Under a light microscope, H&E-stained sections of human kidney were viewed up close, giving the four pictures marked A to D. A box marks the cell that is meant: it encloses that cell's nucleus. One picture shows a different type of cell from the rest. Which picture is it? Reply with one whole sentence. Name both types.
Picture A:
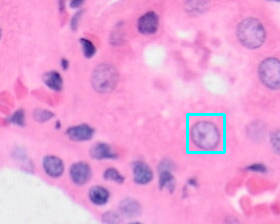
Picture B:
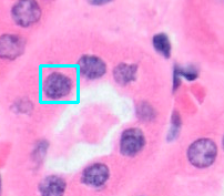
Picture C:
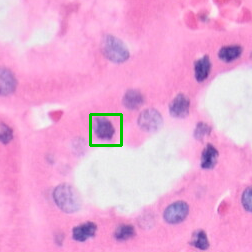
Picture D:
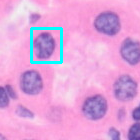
Unlike the rest, which show “loop of Henle or distal tubule cells”, picture A shows a proximal tubule cell.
